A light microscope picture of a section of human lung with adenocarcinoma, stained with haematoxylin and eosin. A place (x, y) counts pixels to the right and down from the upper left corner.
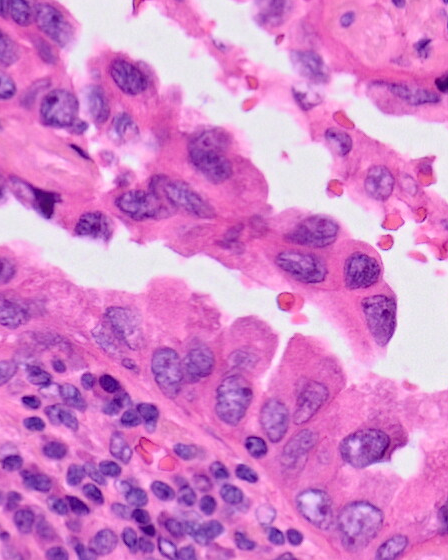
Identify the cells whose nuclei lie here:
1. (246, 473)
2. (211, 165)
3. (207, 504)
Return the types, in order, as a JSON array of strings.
["lymphocyte", "carcinoma cell", "lymphocyte"]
